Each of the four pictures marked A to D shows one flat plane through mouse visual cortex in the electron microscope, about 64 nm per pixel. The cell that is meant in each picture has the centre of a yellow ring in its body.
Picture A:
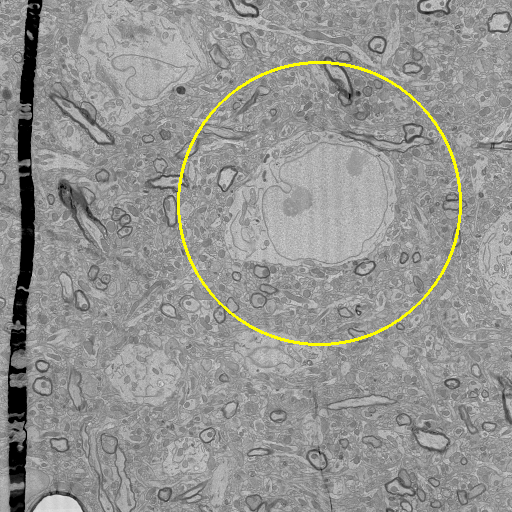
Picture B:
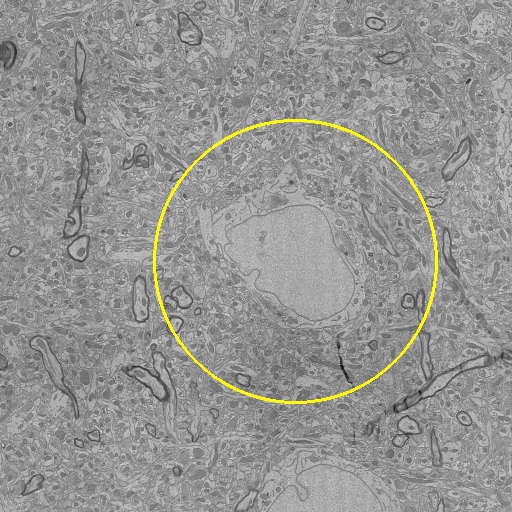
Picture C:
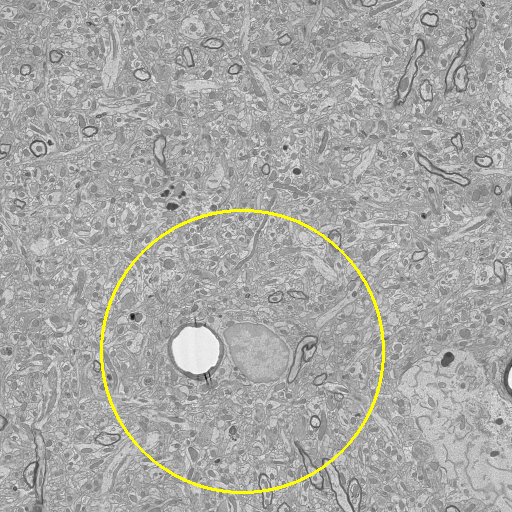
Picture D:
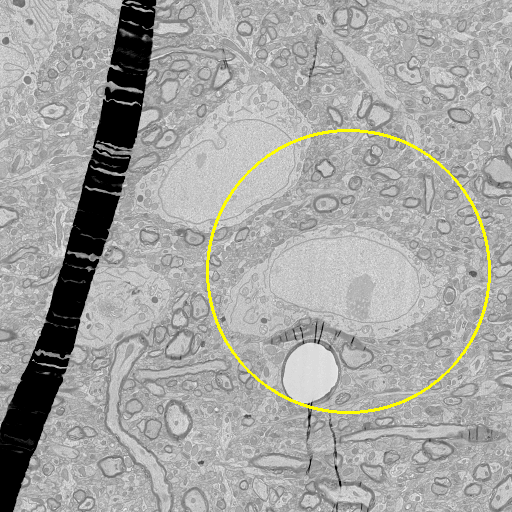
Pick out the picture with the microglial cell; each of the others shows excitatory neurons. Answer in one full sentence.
The picture with the microglial cell is C.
